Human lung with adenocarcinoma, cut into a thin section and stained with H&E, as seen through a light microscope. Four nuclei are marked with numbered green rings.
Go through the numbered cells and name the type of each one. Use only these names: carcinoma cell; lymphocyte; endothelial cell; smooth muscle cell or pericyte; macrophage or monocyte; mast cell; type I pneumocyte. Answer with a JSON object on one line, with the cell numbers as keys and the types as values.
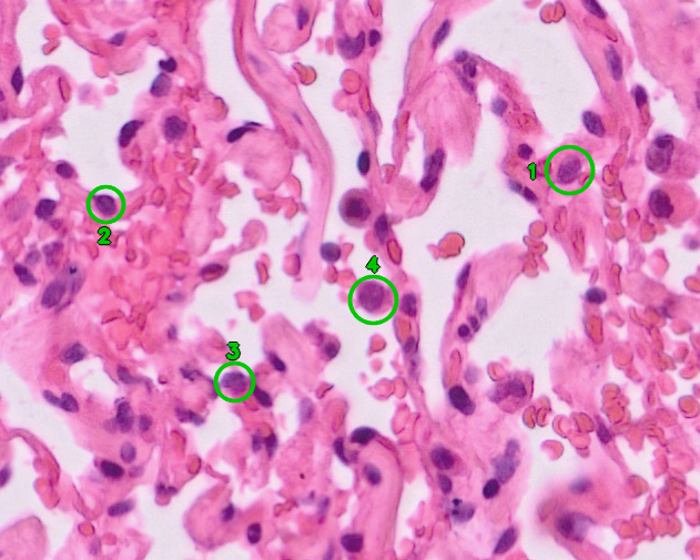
{"1": "type I pneumocyte", "2": "type I pneumocyte", "3": "type I pneumocyte", "4": "macrophage or monocyte"}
